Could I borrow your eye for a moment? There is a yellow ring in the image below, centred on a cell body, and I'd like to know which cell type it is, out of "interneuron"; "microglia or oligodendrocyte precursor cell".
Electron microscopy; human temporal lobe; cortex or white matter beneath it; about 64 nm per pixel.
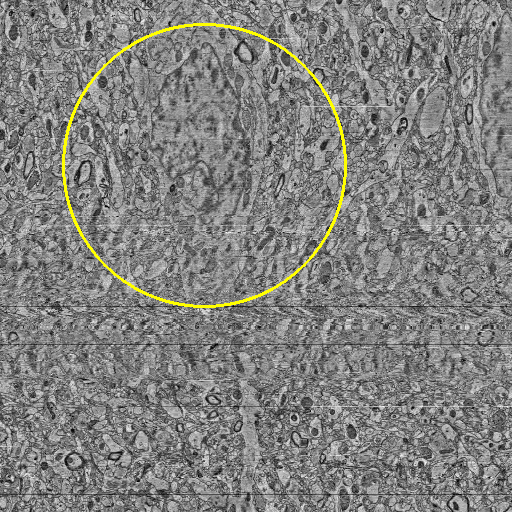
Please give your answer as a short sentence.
The cell body at the centre is that of an interneuron.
